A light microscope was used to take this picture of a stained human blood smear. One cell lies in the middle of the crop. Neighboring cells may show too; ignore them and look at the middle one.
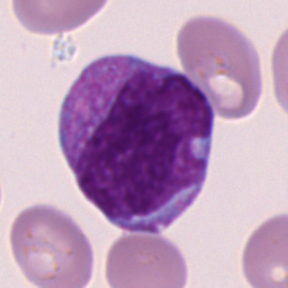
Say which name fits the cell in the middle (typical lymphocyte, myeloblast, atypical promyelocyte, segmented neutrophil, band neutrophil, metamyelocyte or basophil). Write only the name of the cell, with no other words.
atypical promyelocyte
